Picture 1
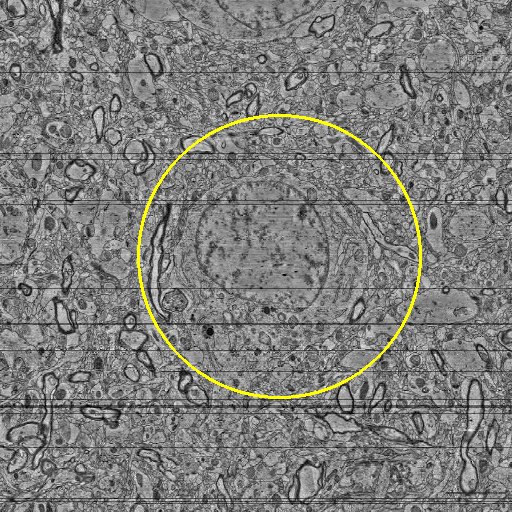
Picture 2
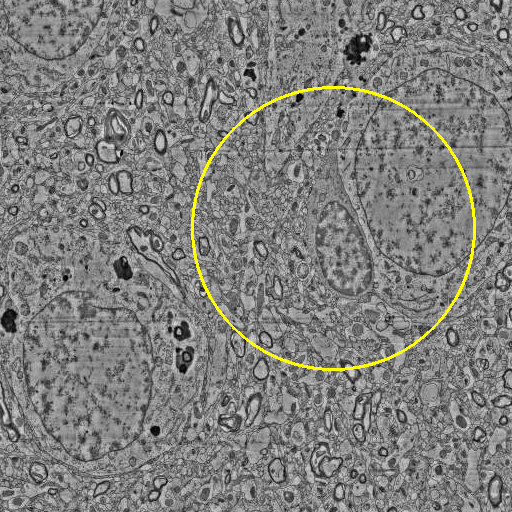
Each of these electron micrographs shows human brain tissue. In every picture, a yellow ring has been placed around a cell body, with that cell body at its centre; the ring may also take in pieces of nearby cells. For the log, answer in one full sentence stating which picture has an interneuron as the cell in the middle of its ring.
In picture 1, the cell at the centre of the yellow ring is the requested one.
